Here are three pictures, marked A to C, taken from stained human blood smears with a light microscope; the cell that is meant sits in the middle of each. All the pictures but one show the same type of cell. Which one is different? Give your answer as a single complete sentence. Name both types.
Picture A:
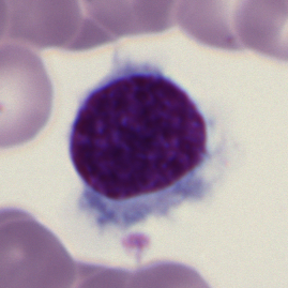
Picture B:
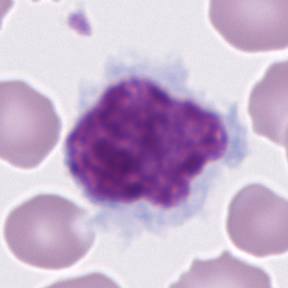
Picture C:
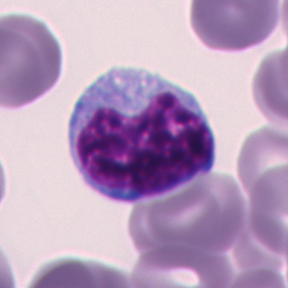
Picture C differs, because its cell is a typical lymphocyte and the rest are hairy cells.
